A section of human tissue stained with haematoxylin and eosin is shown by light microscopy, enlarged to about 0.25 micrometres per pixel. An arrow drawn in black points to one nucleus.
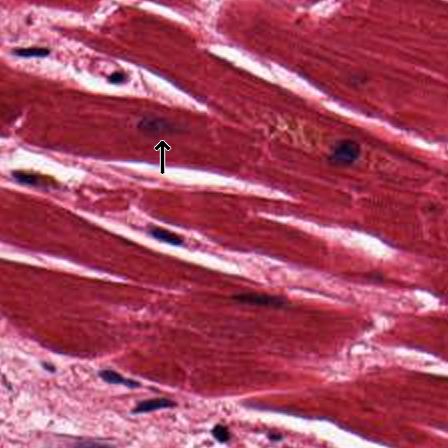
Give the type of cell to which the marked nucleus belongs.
cardiomyocyte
